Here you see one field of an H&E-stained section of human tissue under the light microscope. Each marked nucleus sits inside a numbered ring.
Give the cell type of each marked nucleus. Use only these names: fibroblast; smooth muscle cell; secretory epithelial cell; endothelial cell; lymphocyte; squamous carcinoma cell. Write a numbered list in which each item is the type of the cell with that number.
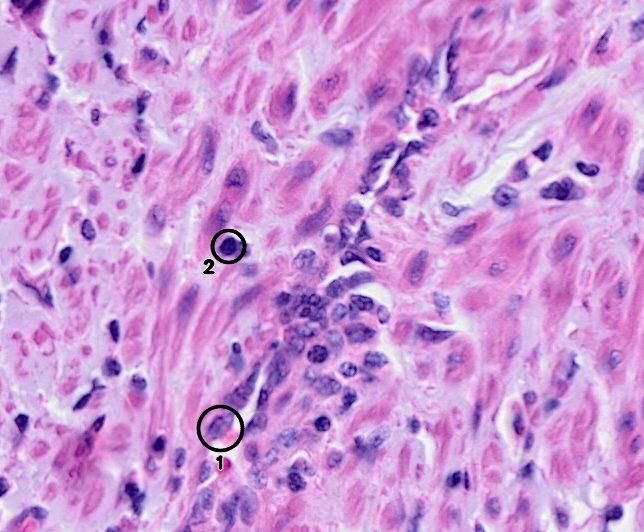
1. endothelial cell
2. lymphocyte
